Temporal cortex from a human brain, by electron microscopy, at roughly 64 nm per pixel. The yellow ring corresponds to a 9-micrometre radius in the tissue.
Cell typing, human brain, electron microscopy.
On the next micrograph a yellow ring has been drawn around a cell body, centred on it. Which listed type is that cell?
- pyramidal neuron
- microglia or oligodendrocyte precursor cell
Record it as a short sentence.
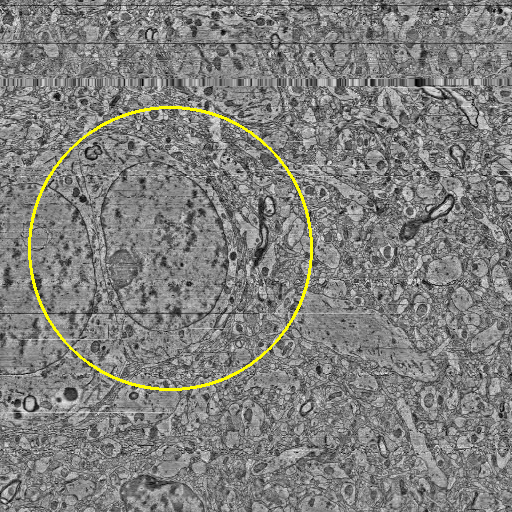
The cell body in the ring's centre belongs to a pyramidal neuron.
